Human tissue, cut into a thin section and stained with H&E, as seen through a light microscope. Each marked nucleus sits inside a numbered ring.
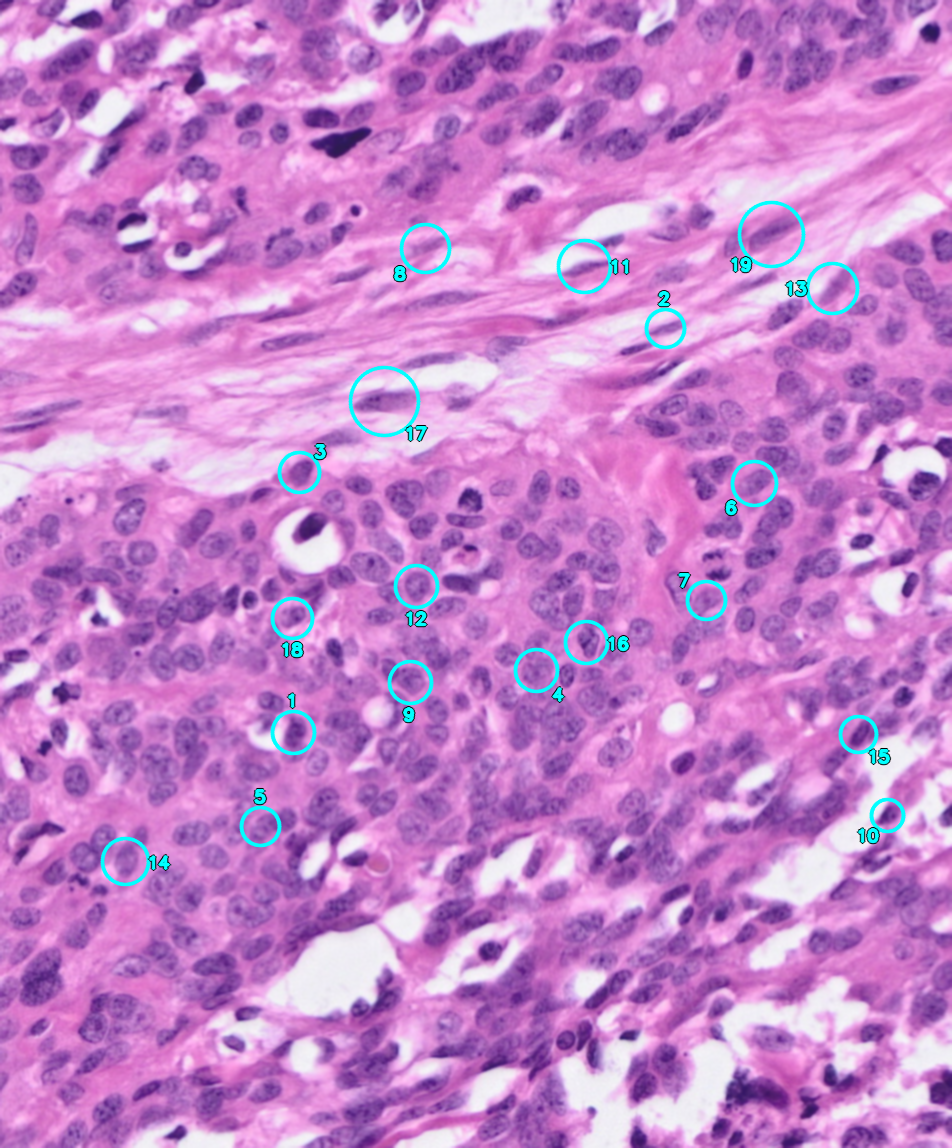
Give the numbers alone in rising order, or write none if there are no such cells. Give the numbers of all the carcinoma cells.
1, 4, 5, 6, 7, 9, 12, 14, 15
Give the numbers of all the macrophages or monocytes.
3, 10, 16, 18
